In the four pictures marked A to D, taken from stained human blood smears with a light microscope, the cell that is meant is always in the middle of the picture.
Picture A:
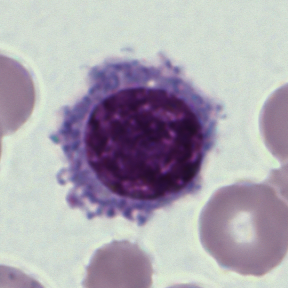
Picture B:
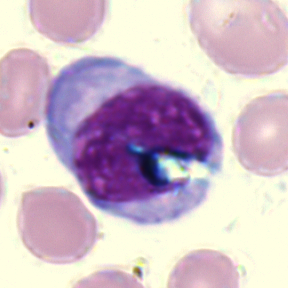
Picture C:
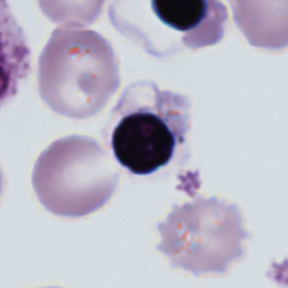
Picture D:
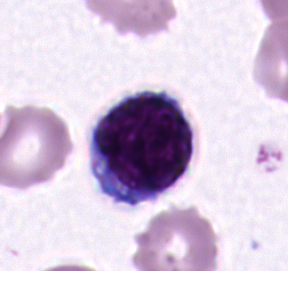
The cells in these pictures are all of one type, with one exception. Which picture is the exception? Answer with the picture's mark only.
C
